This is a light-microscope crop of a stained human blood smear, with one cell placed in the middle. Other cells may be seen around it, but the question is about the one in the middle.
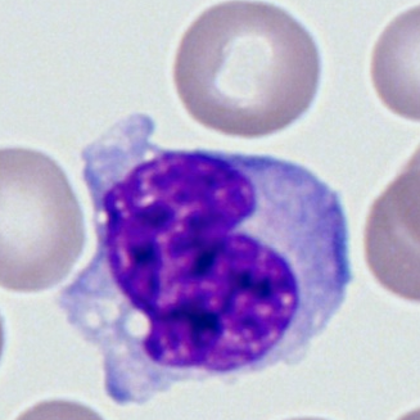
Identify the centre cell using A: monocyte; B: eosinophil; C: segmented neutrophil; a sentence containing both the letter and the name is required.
Option A is correct; the cell in the middle is a monocyte.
